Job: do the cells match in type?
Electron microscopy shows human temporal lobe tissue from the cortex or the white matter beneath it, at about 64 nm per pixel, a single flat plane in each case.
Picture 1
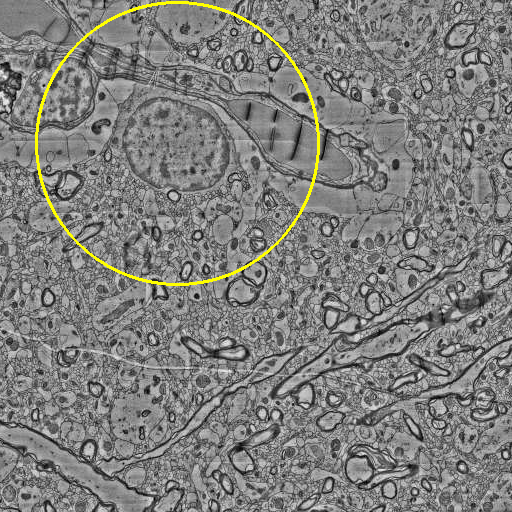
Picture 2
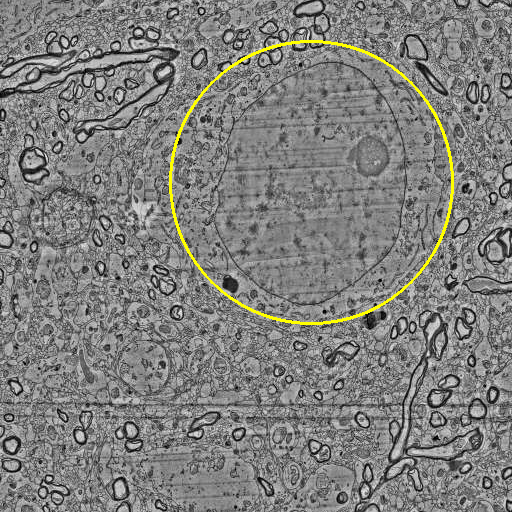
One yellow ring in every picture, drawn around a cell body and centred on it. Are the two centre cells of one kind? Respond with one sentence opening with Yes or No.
No, the ringed cells in the two pictures are of two separate kinds.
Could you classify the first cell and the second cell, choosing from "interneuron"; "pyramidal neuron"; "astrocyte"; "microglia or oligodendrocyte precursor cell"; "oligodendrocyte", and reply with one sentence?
The second cell is a pyramidal neuron, while the first is an oligodendrocyte.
